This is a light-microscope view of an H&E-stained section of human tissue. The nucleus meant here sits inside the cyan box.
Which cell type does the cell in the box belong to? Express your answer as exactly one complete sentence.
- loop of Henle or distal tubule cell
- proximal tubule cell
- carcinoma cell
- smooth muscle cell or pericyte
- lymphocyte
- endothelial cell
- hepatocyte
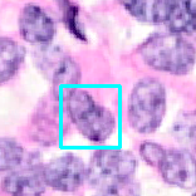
Within the stained tissue, the cell in the box is a carcinoma cell.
